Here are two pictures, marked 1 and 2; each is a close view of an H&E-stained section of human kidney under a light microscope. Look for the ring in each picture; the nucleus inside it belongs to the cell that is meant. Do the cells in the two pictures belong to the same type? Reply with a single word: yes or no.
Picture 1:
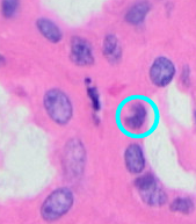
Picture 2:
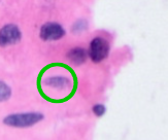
no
